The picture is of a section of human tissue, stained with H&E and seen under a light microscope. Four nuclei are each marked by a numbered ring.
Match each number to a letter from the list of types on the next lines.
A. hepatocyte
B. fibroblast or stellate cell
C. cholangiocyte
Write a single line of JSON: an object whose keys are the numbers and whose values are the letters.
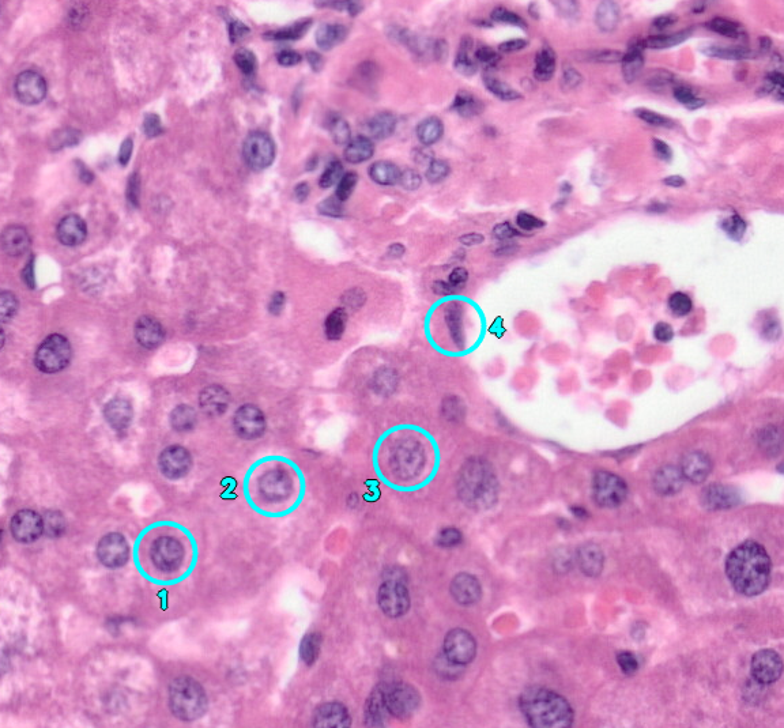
{"1": "A", "2": "A", "3": "A", "4": "B"}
